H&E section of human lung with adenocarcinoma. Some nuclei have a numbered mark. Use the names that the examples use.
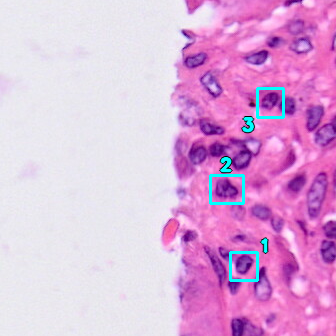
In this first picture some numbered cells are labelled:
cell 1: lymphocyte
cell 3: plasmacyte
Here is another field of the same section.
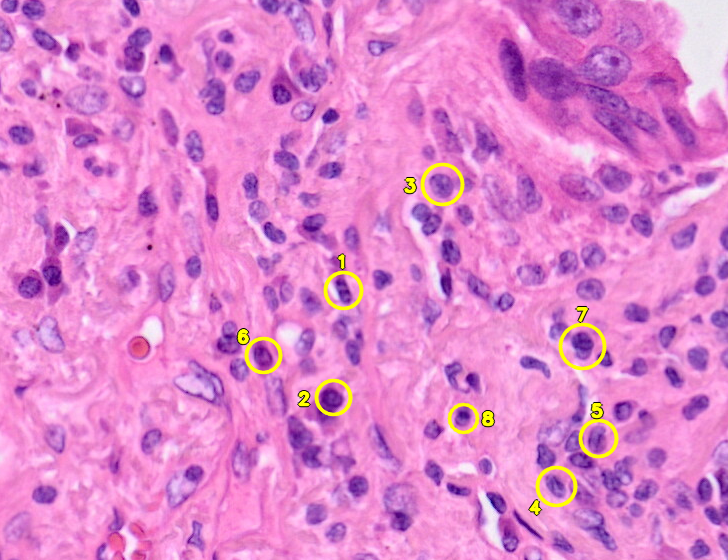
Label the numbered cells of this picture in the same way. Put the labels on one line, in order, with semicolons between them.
plasmacyte; plasmacyte; lymphocyte; lymphocyte; lymphocyte; plasmacyte; lymphocyte; lymphocyte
